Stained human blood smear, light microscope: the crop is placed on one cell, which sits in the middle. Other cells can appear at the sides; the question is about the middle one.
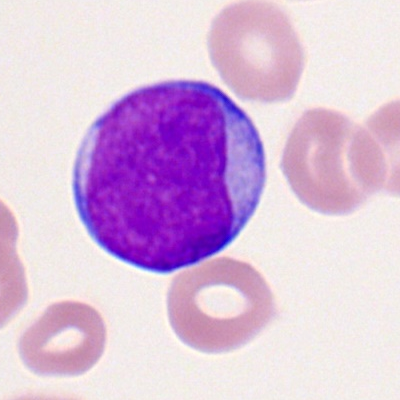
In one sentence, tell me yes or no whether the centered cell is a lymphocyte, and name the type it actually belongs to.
No, the middle of this crop is occupied by a myeloblast rather than a lymphocyte.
